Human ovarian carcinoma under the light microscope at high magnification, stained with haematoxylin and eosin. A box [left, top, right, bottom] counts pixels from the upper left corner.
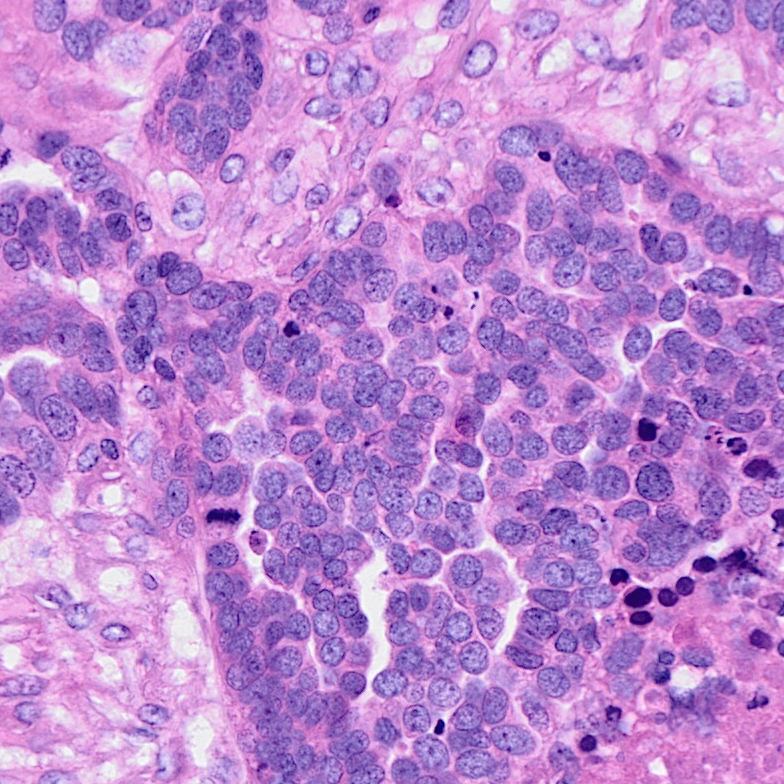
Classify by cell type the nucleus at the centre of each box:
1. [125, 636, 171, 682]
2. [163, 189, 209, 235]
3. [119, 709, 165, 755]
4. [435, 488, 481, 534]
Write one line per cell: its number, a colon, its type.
1: fibroblast
2: fibroblast
3: fibroblast
4: carcinoma cell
